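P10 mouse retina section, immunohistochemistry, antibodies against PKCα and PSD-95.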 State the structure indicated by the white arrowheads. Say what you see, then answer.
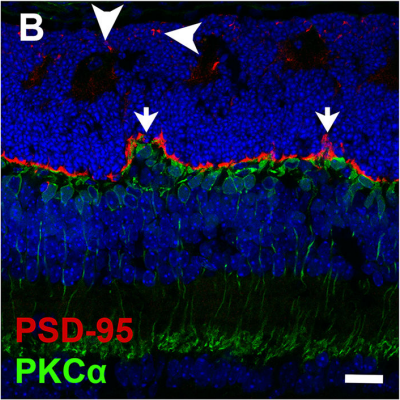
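Small red puncta lie among the packed nuclei near the outer surface. These puncta are far from the main red band. That points to this answer: ectopic synapses.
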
